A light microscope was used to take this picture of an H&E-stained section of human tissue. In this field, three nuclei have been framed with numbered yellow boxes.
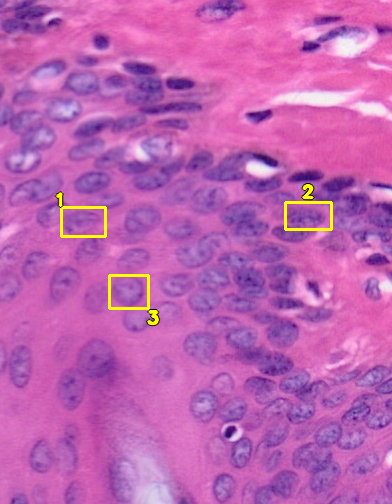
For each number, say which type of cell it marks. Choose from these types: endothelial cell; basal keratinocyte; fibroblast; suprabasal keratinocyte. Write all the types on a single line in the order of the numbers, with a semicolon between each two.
suprabasal keratinocyte; basal keratinocyte; suprabasal keratinocyte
